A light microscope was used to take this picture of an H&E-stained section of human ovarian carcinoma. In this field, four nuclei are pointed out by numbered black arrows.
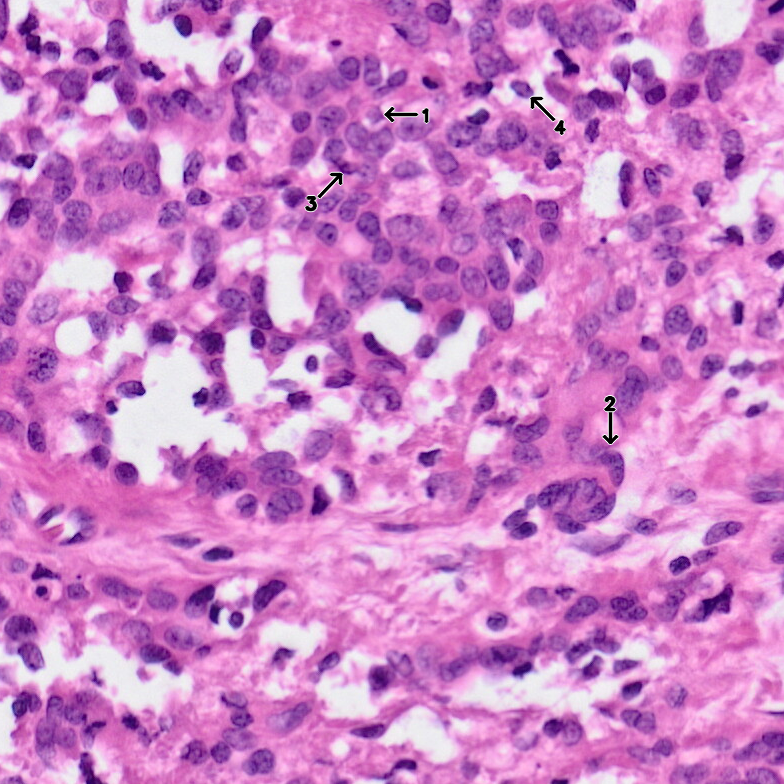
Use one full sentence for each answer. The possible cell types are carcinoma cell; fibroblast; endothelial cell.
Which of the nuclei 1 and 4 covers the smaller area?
Number 1 is smaller, since number 4 takes up about 1.5 times as much area.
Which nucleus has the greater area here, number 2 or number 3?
The larger nucleus is 2, at roughly 4 times the area of 3.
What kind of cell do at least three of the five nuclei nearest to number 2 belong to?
Of the five nuclei nearest to number 2, most belong to endothelial cells.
